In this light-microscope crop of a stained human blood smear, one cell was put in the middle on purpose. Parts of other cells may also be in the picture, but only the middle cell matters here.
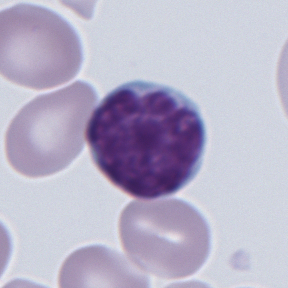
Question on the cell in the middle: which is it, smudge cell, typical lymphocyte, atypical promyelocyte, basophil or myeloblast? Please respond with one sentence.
The cell at the central position in this crop is a typical lymphocyte.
